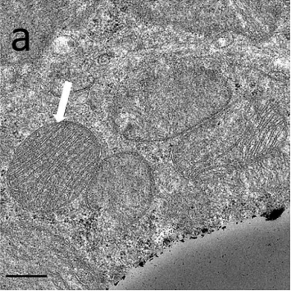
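Part of a brown adipocyte at high magnification, showing cytoplasm crowded with large, round mitochondria. Neighbouring mitochondria lie side by side, touching one another. At the lower right edge, the smooth, homogeneous grey surface of a lipid droplet borders the cytoplasm, with a thin dark rim at its margin. The surrounding cytoplasm is finely granular with scattered small membrane profiles.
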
